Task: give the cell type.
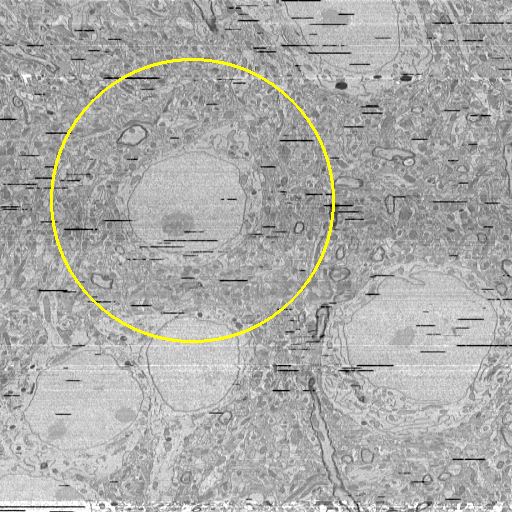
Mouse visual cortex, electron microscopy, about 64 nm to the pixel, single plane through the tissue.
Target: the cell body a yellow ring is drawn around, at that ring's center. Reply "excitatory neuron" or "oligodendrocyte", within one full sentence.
In this picture, the cell whose body lies at the ring's center is an excitatory neuron.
